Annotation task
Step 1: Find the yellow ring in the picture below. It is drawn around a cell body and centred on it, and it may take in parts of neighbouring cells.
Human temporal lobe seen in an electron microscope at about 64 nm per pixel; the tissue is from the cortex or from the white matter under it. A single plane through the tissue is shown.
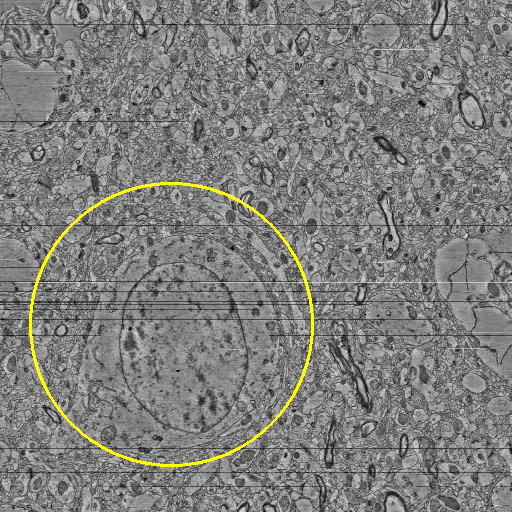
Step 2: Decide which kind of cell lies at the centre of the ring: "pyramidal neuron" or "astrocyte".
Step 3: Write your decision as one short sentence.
The kind of cell at the ring's centre is a pyramidal neuron.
